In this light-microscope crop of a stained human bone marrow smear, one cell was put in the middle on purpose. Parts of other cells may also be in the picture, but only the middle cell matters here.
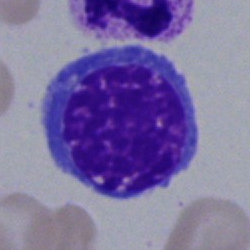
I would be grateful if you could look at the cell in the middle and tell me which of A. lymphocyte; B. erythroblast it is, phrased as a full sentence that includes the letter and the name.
The central cell of the crop is an erythroblast, which makes B the correct option.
